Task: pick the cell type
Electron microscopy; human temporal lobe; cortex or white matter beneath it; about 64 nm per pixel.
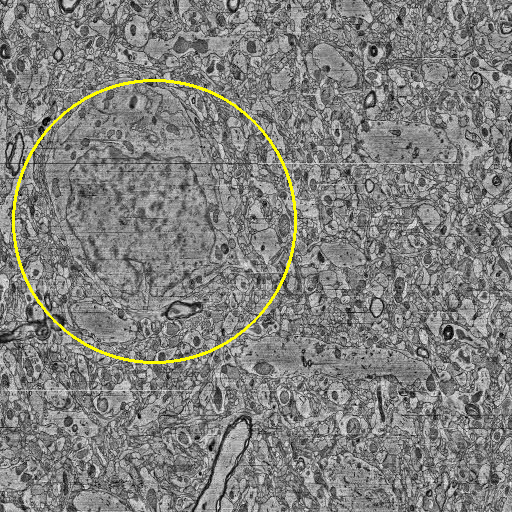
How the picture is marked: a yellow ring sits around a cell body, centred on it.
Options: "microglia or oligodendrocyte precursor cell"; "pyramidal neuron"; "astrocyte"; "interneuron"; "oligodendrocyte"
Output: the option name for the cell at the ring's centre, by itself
interneuron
